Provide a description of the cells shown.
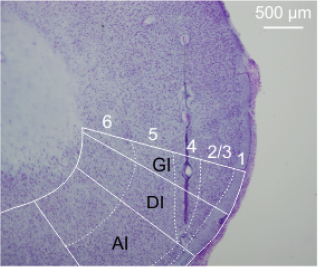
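Within the cortex, differences in how densely the cells are packed and how darkly they stain set off a series of layers that run parallel to the surface. A narrow vertical track with small round holes along it crosses the layers.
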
